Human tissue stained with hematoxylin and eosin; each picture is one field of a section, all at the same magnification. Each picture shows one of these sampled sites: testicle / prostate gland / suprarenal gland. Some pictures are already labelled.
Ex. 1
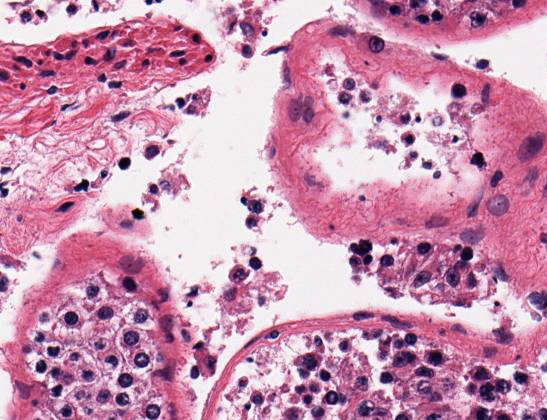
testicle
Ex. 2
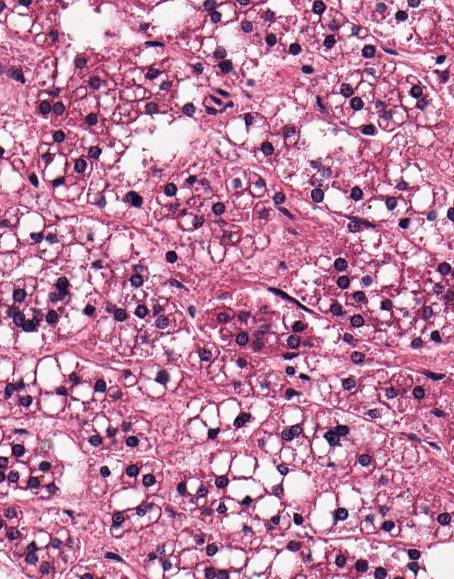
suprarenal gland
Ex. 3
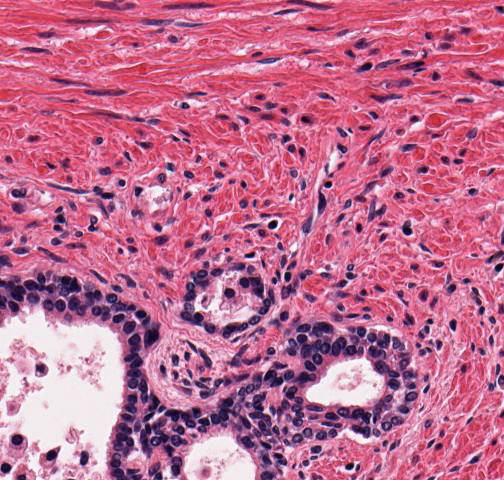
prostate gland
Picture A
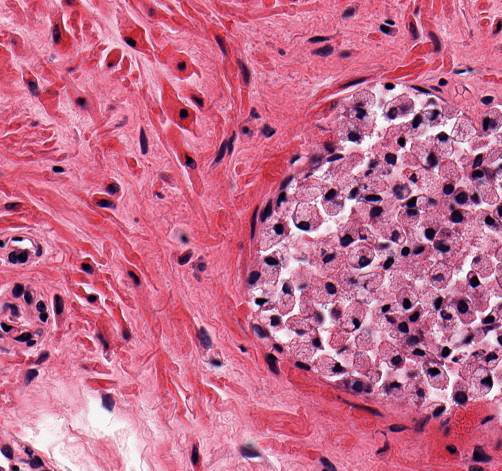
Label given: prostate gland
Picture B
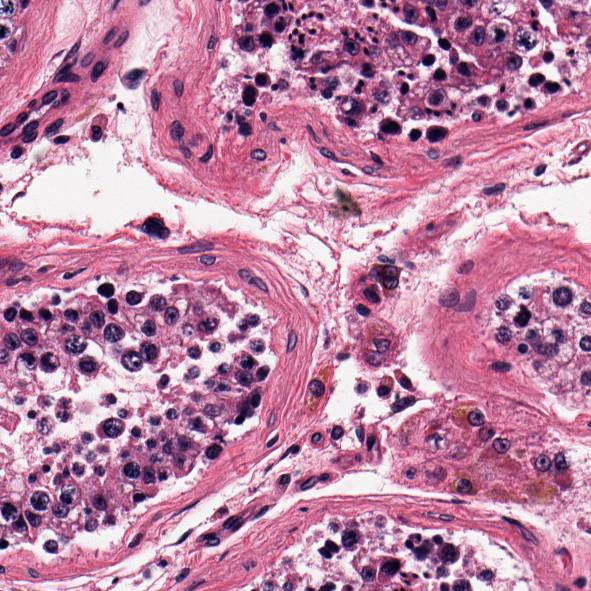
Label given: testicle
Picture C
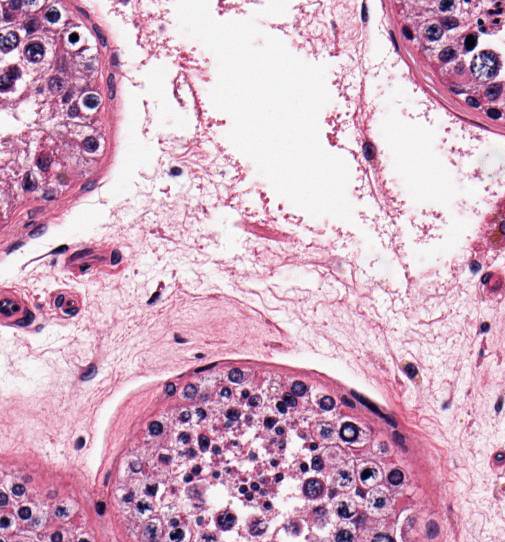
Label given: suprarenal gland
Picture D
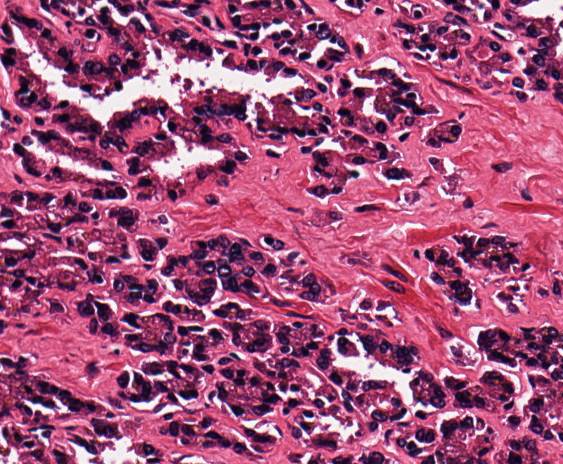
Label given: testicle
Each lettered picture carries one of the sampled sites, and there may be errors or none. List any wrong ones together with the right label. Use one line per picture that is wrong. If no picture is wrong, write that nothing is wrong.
C should be testicle, not suprarenal gland
D should be prostate gland, not testicle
